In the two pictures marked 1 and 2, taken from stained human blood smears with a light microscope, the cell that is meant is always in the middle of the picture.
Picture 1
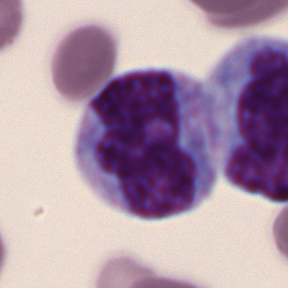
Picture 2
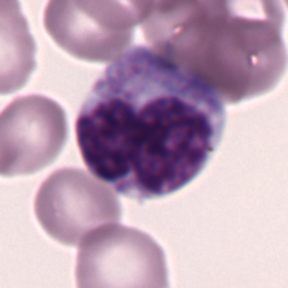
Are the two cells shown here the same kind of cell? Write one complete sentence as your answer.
Yes, they are the same type: both are monocytes.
